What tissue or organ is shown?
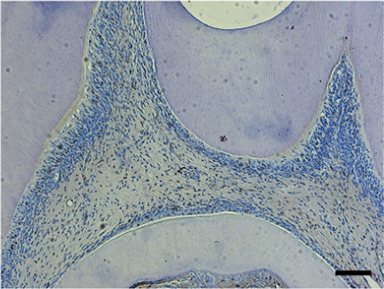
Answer: Pulp tissue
